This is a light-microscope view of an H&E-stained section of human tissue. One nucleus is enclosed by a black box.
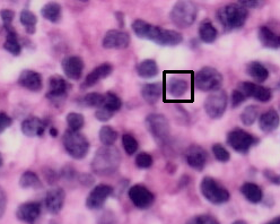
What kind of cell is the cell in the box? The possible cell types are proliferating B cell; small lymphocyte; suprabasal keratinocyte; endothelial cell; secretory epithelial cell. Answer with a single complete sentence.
The cell in the box is a proliferating B cell.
